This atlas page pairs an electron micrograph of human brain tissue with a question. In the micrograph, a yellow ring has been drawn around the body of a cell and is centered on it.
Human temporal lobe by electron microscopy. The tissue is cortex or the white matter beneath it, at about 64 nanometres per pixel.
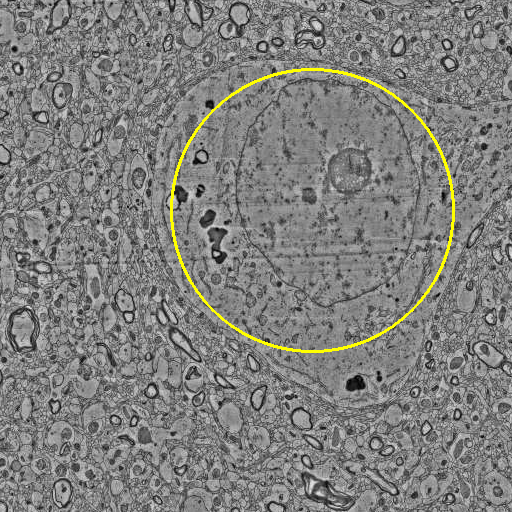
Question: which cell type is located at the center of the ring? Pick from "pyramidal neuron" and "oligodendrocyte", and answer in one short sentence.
Located at the center of the ring is a pyramidal neuron.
